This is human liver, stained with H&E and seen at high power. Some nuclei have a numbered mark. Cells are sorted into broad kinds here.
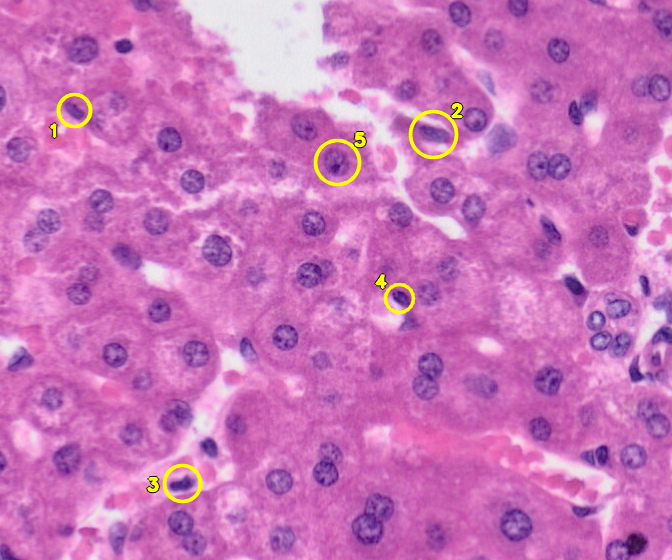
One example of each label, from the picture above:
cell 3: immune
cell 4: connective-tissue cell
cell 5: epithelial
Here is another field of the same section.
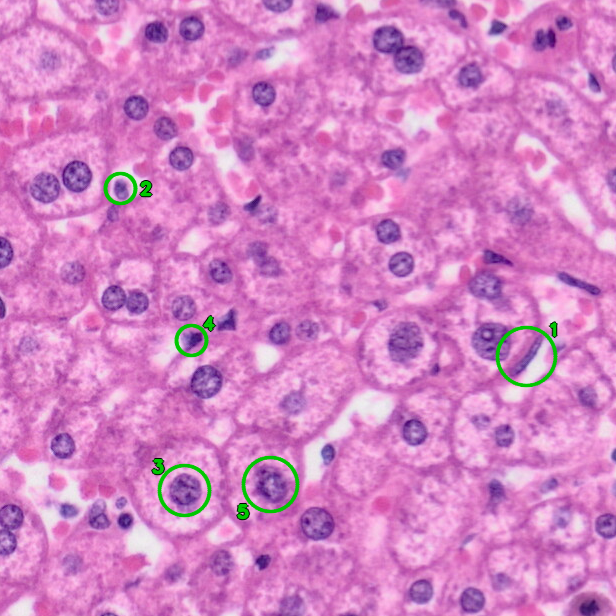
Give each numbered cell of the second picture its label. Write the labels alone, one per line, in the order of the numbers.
immune
immune
epithelial
connective-tissue cell
epithelial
